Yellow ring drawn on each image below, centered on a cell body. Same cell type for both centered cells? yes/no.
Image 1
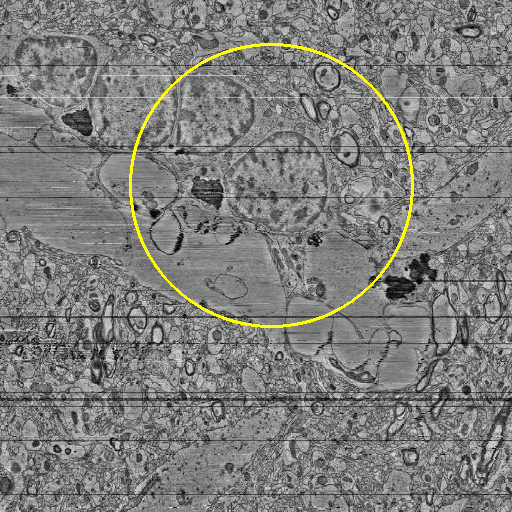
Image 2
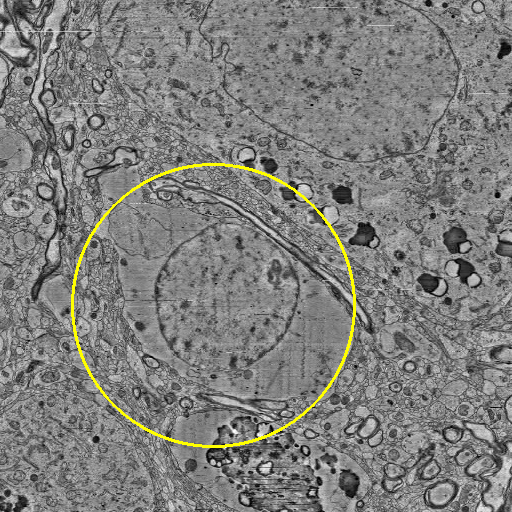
no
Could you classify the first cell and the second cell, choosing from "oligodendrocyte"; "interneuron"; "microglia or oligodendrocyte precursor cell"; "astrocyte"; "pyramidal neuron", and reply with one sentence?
The second cell is an astrocyte, while the first is an oligodendrocyte.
